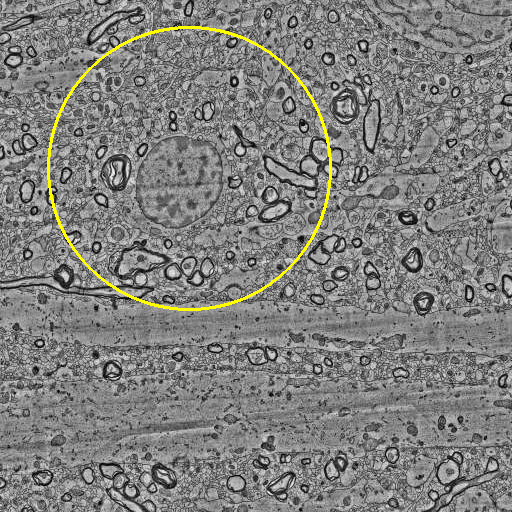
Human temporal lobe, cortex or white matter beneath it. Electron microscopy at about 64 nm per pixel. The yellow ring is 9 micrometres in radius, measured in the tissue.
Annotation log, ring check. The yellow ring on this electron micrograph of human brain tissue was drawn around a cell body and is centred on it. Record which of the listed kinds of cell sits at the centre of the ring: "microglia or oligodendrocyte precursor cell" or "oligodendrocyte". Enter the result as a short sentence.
The cell at the centre of the ring is an oligodendrocyte.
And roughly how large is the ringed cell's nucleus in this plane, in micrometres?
Roughly 6 micrometres across for the nucleus, in this plane.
